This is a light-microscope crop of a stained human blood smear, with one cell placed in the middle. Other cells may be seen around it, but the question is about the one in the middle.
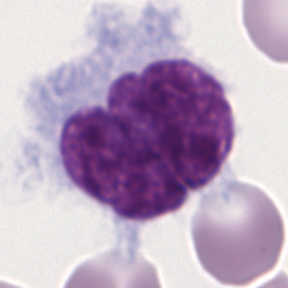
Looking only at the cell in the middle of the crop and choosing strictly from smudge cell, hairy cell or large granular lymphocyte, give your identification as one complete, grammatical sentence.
The cell occupying the middle of the crop is a hairy cell.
